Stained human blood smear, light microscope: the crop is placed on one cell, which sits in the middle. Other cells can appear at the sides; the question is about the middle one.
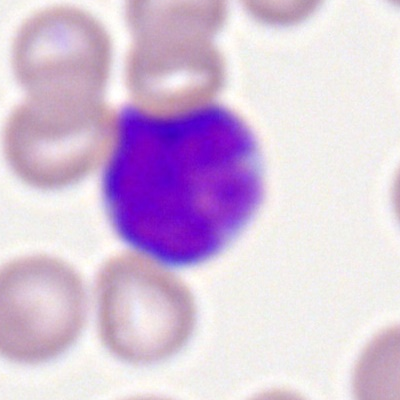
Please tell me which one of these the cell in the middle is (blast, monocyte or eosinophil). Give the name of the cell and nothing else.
blast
